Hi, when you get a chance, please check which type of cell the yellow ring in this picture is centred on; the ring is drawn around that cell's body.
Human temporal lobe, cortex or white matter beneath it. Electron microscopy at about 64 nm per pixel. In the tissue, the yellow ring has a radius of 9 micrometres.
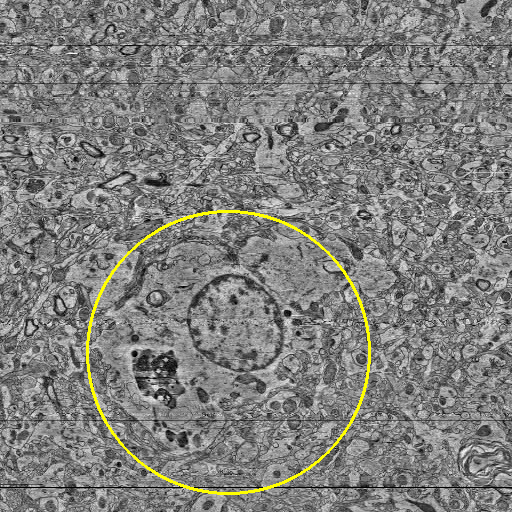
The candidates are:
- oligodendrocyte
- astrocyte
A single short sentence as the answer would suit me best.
The ring is drawn around the body of an astrocyte.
